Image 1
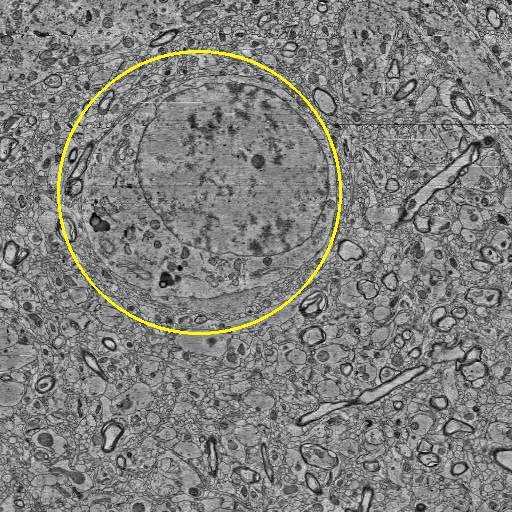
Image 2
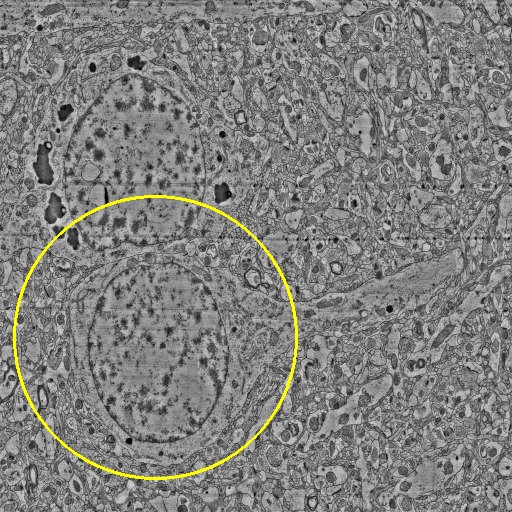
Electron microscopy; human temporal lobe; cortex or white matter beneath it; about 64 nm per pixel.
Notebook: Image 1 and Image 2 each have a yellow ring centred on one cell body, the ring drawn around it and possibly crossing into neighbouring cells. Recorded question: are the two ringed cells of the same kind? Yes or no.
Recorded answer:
yes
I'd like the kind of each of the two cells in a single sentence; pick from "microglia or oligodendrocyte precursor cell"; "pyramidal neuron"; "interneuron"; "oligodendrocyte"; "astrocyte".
Each one of the two ringed cells is a pyramidal neuron.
